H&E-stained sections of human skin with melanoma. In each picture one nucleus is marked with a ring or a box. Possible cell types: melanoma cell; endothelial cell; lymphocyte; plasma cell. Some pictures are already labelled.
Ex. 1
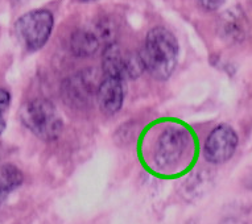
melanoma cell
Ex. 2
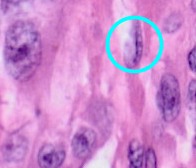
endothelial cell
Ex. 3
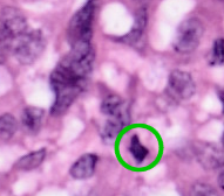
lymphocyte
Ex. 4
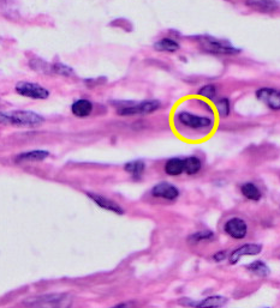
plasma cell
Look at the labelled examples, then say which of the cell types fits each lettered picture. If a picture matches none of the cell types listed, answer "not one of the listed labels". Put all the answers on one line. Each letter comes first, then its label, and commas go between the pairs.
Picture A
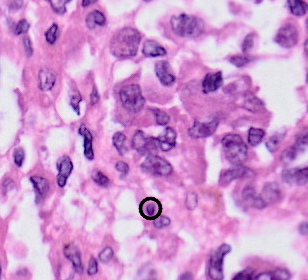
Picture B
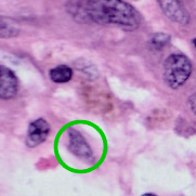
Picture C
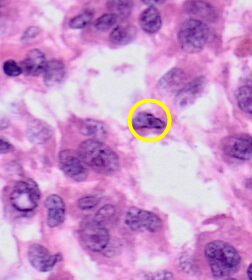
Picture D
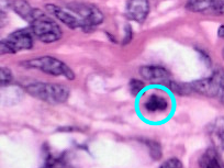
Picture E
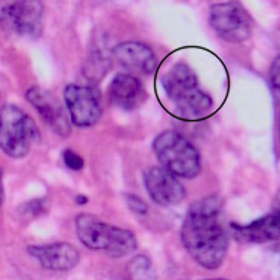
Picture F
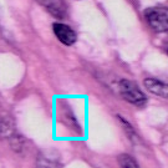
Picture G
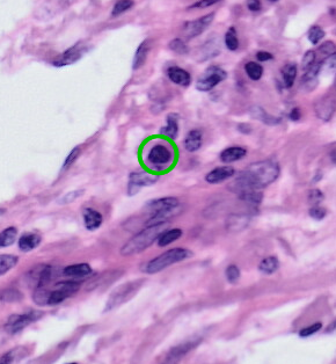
A not one of the listed labels, B not one of the listed labels, C not one of the listed labels, D lymphocyte, E melanoma cell, F endothelial cell, G plasma cell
